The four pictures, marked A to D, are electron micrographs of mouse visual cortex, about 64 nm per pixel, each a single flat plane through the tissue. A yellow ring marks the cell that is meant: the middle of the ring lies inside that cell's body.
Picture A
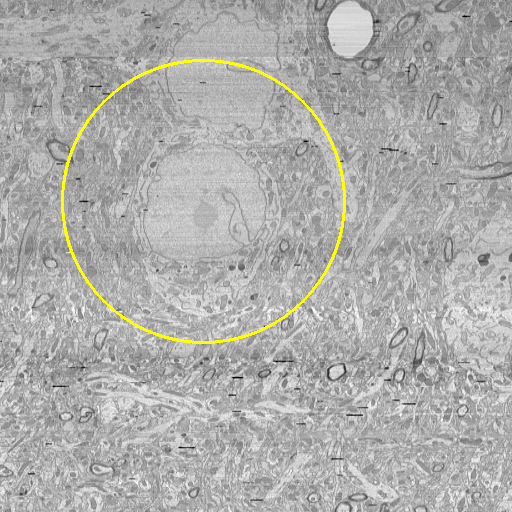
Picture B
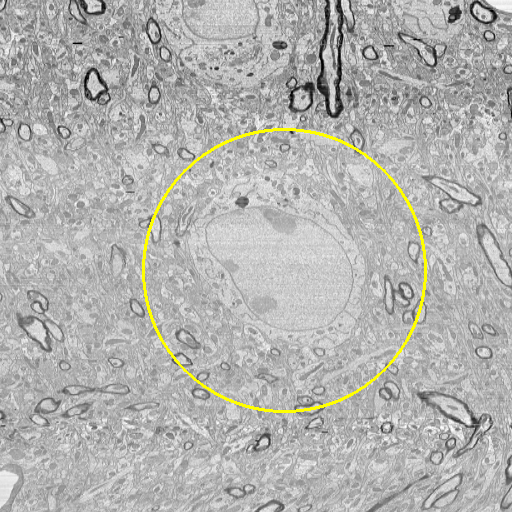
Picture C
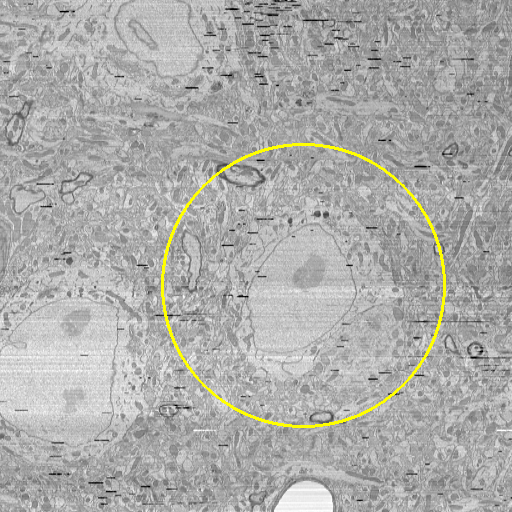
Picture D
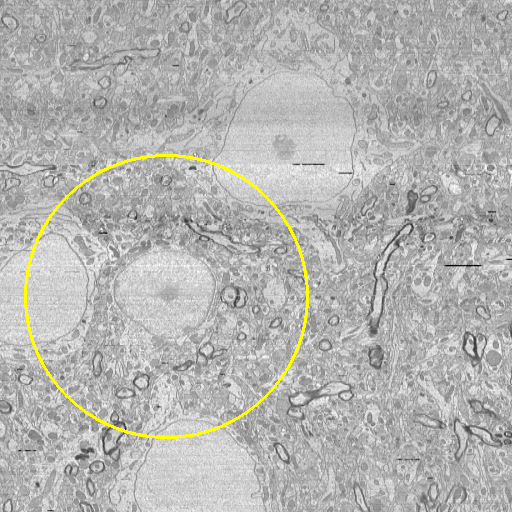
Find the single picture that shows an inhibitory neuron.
Picture A is the one that shows the inhibitory neuron.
